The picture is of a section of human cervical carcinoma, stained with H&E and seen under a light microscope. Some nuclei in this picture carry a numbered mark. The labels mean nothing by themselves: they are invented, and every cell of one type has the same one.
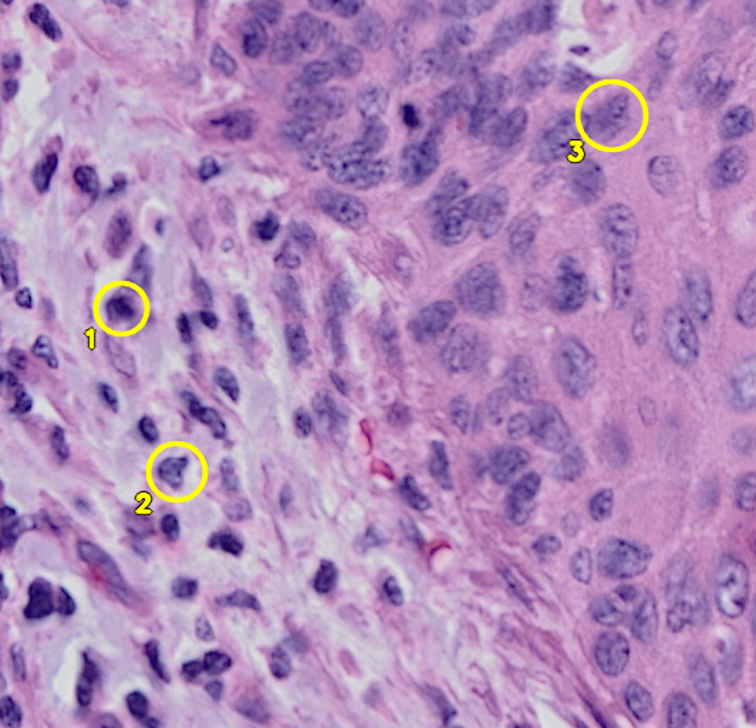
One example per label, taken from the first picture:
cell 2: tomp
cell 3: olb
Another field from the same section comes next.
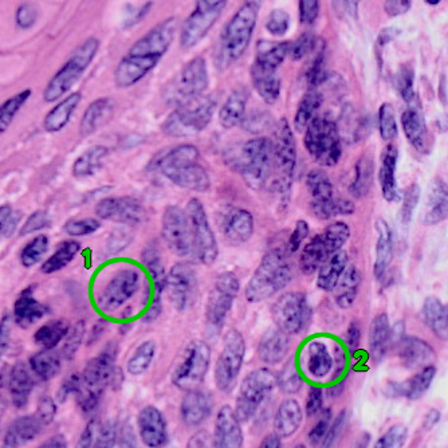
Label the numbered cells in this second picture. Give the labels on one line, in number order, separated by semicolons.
olb; tomp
